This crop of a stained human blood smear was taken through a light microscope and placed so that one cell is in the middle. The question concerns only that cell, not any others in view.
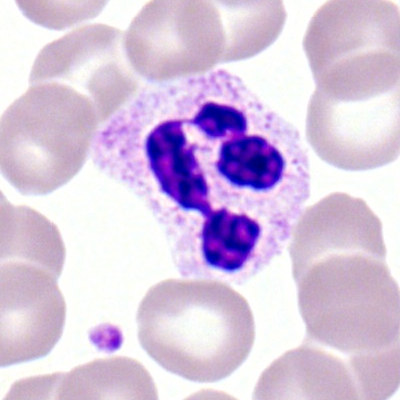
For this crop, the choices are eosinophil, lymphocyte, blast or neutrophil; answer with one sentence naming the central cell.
For this crop, the central cell is a neutrophil.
